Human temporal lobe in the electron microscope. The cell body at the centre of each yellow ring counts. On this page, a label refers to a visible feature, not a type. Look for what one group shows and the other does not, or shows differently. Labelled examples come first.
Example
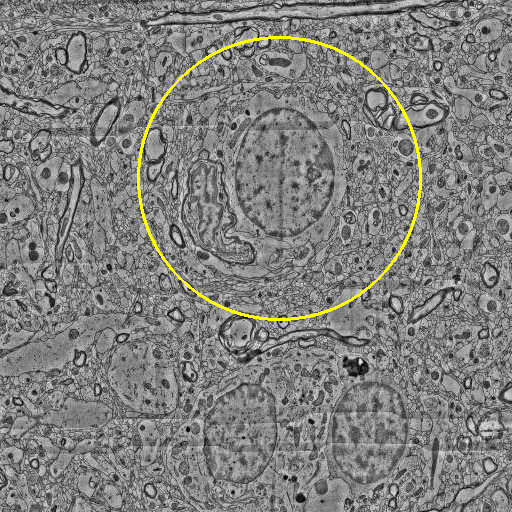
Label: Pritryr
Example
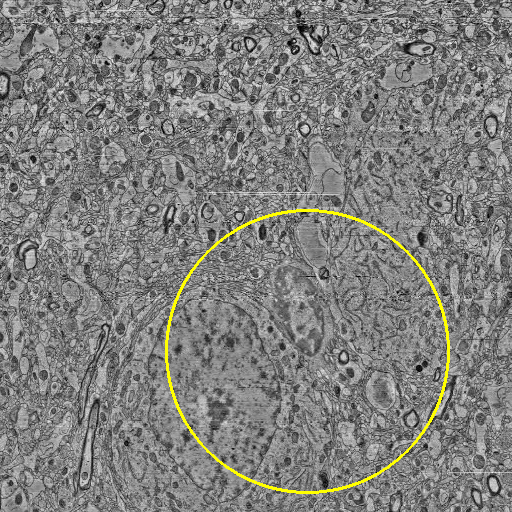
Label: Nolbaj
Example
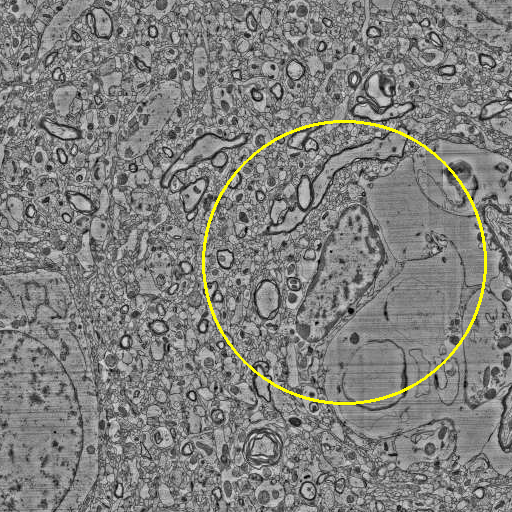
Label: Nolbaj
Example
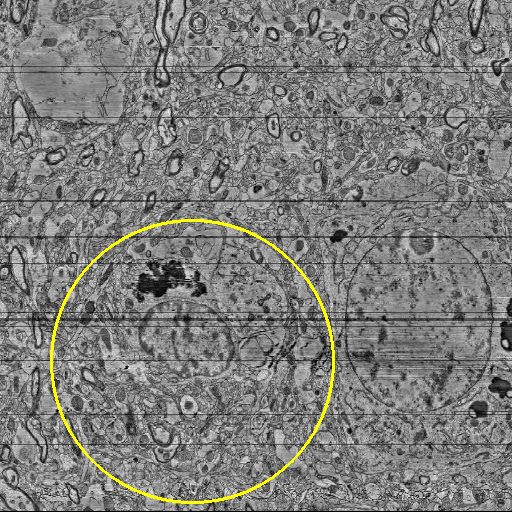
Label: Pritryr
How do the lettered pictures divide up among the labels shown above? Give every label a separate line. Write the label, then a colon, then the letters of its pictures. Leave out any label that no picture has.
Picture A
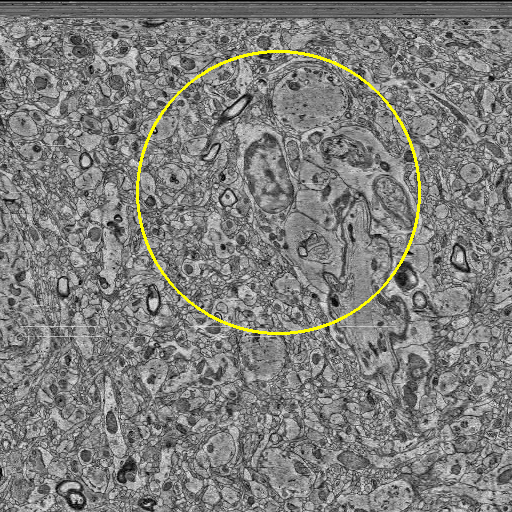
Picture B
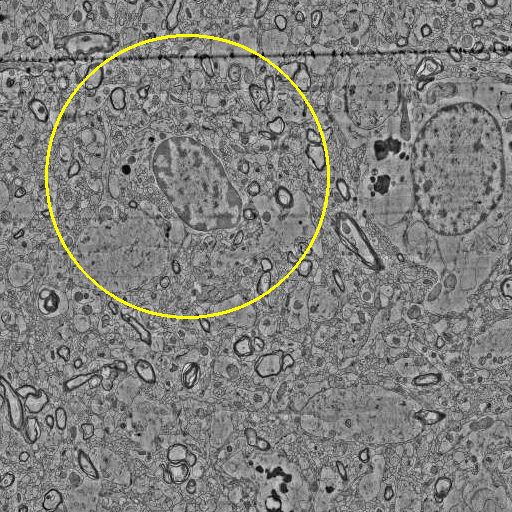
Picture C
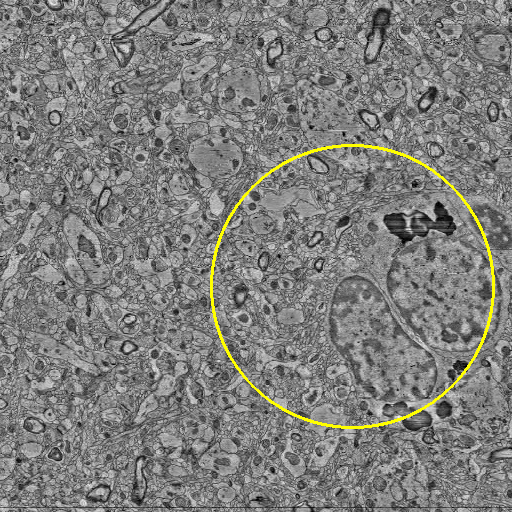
Nolbaj: A, B, C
